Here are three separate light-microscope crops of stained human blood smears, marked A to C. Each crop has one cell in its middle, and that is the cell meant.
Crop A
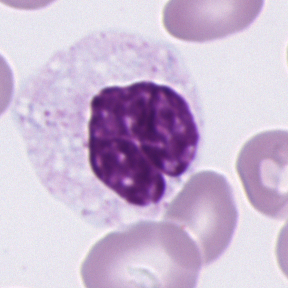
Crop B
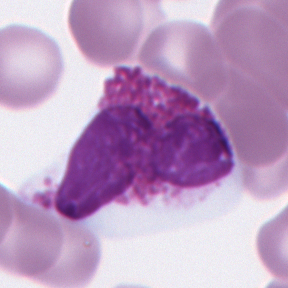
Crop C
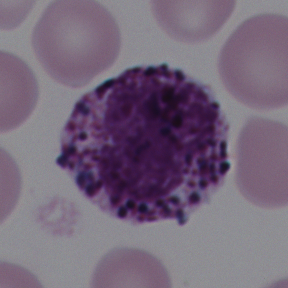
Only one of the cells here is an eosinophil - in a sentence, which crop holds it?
The one that shows an eosinophil is crop B.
